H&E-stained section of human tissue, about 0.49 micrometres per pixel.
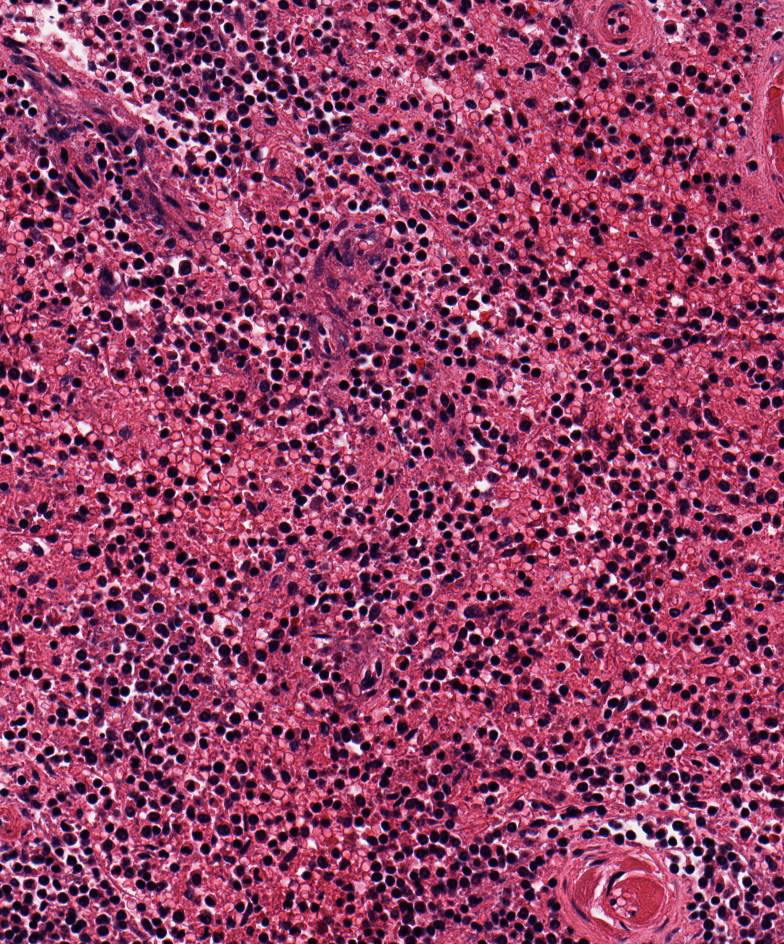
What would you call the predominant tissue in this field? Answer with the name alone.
red pulp of the spleen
